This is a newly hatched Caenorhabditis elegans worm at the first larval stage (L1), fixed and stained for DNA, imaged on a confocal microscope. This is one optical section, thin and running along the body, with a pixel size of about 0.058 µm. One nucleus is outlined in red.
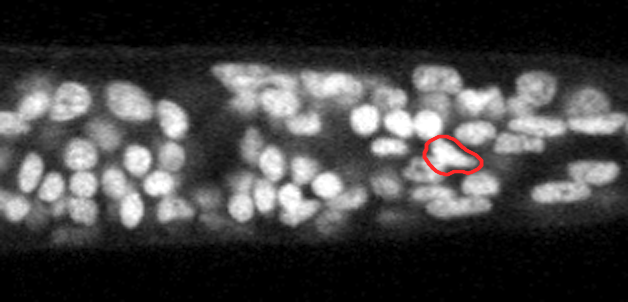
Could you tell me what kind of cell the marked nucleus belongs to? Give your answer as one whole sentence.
The nucleus comes from a pharyngeal muscle cell.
